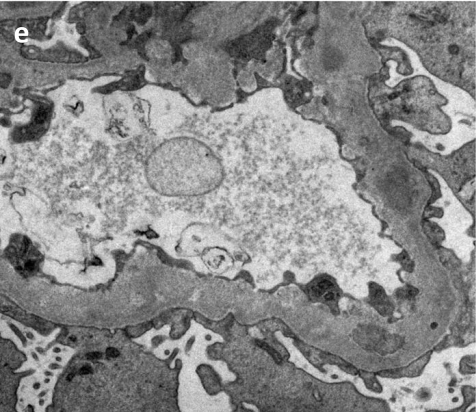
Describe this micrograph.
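A glomerular capillary loop is seen by electron microscopy, with a wide pale lumen holding fine flocculent material and a round, membrane-bound profile. The lumen is encircled by a broad, evenly grey basement membrane that is markedly thickened. Small darker dense patches lie within and along this membrane. On its outer side, podocyte cytoplasm spreads as a flat continuous layer with few distinct foot processes, and white urinary space lies beyond.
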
